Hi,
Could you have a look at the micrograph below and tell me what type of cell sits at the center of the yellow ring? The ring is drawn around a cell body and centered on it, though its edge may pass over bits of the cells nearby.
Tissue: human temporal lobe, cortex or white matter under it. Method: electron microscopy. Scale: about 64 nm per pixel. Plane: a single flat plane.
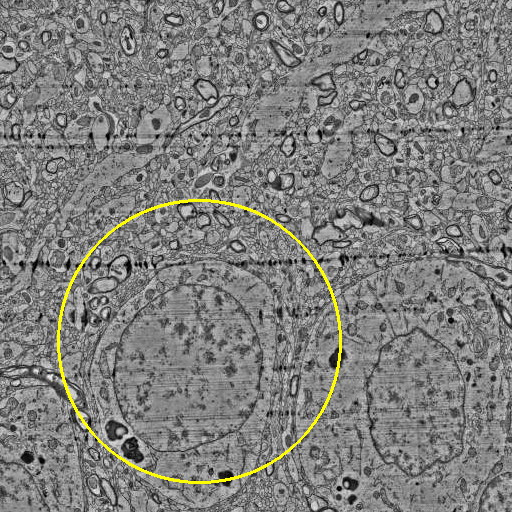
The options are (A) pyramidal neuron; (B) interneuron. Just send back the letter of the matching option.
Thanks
A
